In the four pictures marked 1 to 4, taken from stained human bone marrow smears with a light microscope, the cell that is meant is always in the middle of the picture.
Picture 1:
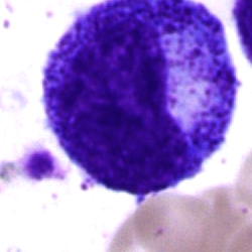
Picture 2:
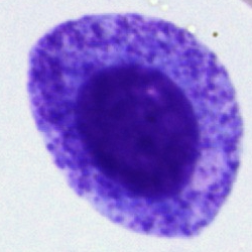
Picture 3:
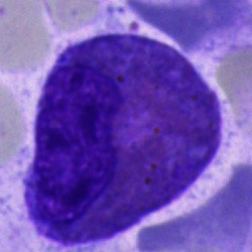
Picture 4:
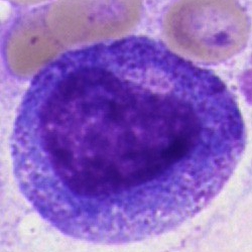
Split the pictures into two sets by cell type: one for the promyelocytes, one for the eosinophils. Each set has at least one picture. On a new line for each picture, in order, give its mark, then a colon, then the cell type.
1: promyelocyte
2: promyelocyte
3: eosinophil
4: promyelocyte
